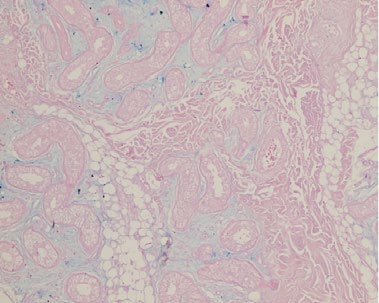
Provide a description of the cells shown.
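This is deep dermis of skin around adnexal structures. Many coiled tubules cut in different planes fill the left and upper part; each is lined by pink epithelial cells around a small lumen. To the right lies a band of dense, wavy pink collagen, and in the lower middle and right edge clear, round fat cells with thin walls sit beside the tubules. Small dark blue specks are scattered through the blue-tinted stroma.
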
